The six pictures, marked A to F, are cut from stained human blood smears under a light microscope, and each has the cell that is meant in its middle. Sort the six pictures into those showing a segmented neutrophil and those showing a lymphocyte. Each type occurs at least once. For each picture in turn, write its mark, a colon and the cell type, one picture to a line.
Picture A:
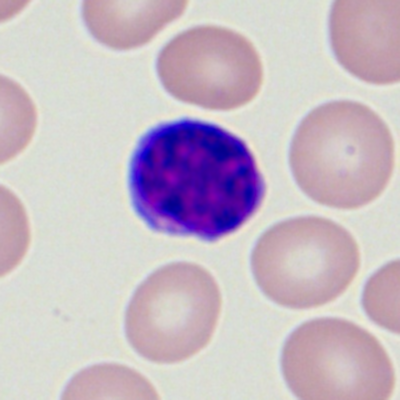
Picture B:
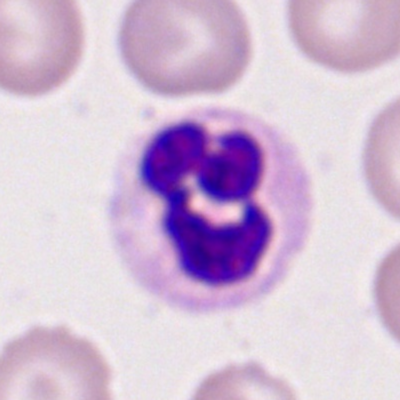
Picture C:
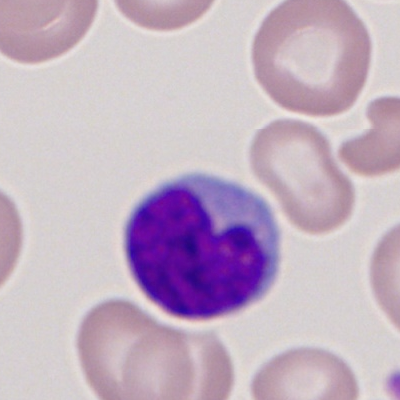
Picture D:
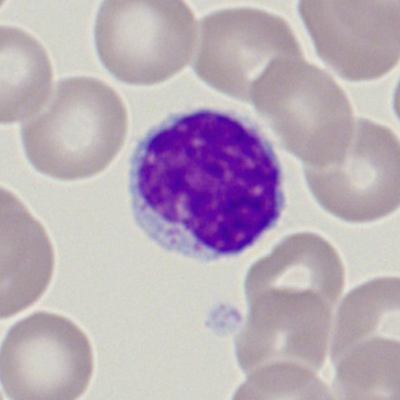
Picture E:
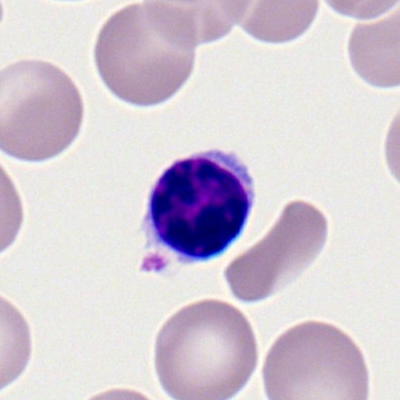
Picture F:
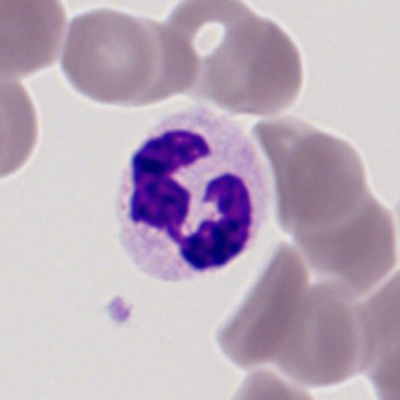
A: lymphocyte
B: segmented neutrophil
C: lymphocyte
D: lymphocyte
E: lymphocyte
F: segmented neutrophil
